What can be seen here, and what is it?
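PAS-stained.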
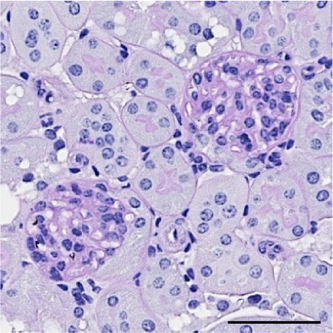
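This is kidney tissue showing two renal corpuscles set among cross-sectioned tubules. The surrounding tubules are lined by cuboidal epithelial cells with pale pink-grey cytoplasm and round blue nuclei, and some tubule cells at the upper left contain clear vacuoles.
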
